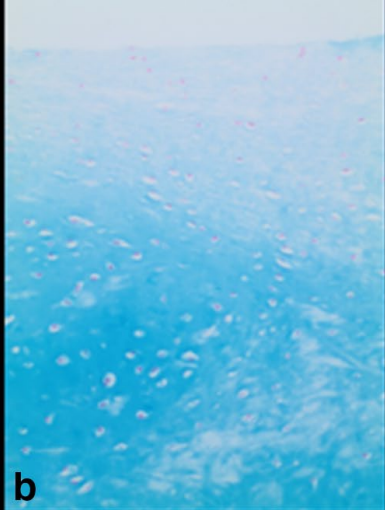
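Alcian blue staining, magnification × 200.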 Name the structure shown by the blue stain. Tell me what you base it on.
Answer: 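Extracellular matrix. The material between cells is stained blue. Cells appear as pale spaces within the blue.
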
